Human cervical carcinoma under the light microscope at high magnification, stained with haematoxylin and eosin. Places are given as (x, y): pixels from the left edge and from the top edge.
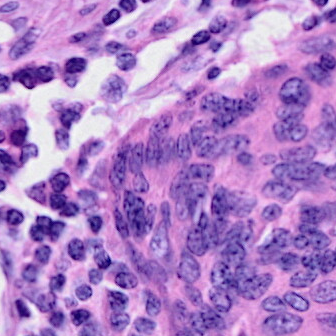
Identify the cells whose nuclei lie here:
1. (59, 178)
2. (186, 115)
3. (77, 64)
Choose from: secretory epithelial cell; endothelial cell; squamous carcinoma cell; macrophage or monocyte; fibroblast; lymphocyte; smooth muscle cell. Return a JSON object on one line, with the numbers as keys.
{"1": "lymphocyte", "2": "squamous carcinoma cell", "3": "lymphocyte"}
